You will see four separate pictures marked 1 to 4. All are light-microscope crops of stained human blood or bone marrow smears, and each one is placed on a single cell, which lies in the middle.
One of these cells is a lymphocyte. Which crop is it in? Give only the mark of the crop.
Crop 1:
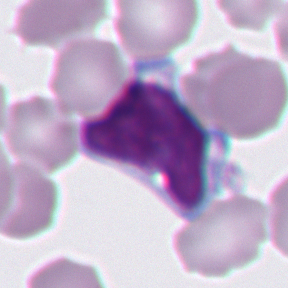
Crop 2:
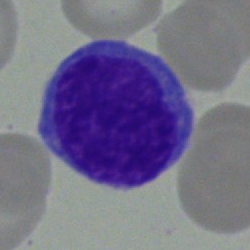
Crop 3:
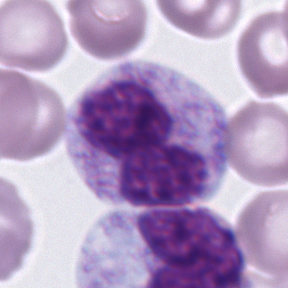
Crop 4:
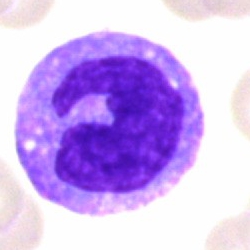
1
